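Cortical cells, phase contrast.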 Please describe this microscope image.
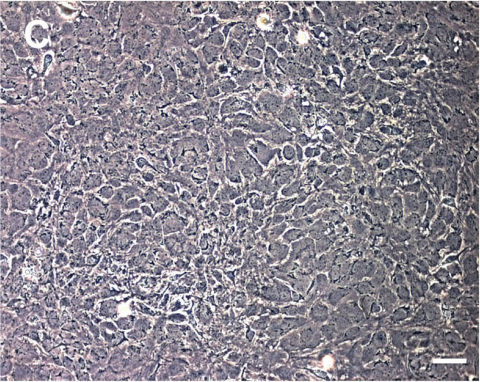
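The cells are flat and broad with irregular, polygonal outlines and lie tightly side by side across nearly the whole field. Their borders appear as bright, thin lines, and darker, rounded nuclear regions can be made out within some cells. Only a few rounded, bright cells sit on top of the sheet here and there.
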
